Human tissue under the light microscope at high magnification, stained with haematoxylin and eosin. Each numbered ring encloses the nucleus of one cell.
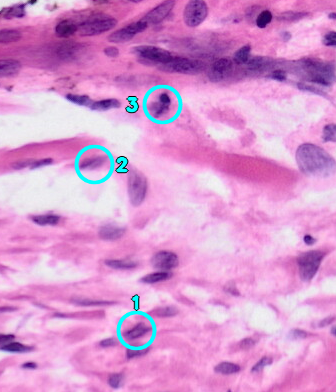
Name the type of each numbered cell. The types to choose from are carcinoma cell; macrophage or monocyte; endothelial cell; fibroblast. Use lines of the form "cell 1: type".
cell 1: fibroblast
cell 2: fibroblast
cell 3: macrophage or monocyte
